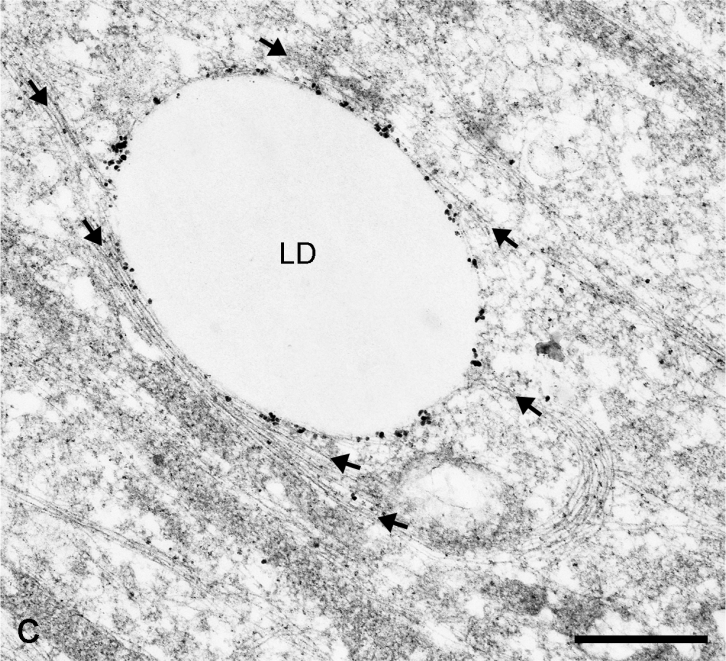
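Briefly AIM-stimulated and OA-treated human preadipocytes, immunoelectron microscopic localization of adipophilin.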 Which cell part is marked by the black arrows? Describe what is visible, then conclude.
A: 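Filament. The arrows point to bundles of thin, long parallel fibres. The fibre bundles run along and curve around the edge of the large pale droplet.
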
